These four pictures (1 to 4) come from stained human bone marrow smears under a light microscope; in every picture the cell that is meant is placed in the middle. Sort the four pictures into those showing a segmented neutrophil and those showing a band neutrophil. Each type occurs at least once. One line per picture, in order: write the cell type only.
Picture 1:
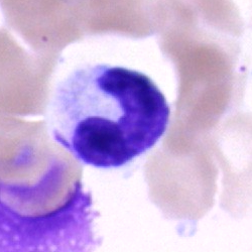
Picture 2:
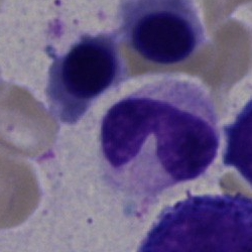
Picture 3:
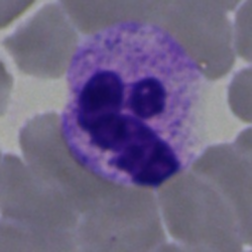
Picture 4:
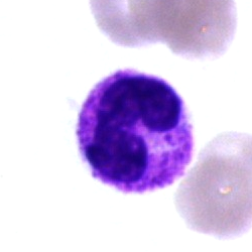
band neutrophil
band neutrophil
segmented neutrophil
band neutrophil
